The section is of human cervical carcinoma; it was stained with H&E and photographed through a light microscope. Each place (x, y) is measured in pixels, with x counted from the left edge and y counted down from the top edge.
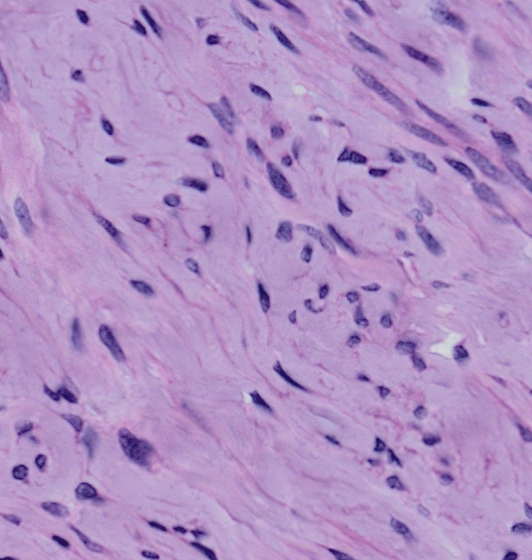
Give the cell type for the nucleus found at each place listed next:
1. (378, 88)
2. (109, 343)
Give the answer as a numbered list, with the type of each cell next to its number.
1. smooth muscle cell
2. fibroblast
